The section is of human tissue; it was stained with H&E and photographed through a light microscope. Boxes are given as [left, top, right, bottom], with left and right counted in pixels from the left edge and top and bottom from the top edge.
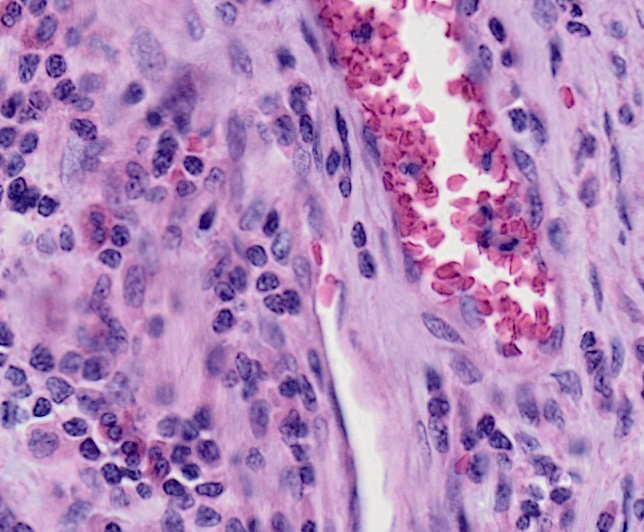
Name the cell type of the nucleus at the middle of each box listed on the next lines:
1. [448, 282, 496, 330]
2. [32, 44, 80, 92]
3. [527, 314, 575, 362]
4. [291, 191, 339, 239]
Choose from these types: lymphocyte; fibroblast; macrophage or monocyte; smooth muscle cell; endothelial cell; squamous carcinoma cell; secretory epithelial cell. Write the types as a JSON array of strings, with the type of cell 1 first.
["endothelial cell", "lymphocyte", "endothelial cell", "endothelial cell"]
